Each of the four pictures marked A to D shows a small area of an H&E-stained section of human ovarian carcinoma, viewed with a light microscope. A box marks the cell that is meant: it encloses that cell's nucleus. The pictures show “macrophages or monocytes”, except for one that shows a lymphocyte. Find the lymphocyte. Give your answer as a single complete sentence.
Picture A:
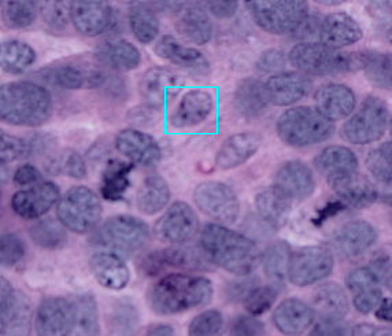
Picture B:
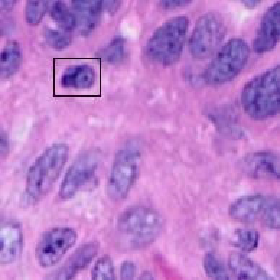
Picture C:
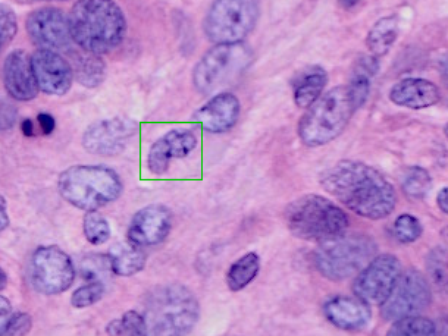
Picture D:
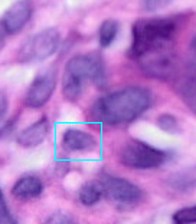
Picture B is the one that shows the lymphocyte.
